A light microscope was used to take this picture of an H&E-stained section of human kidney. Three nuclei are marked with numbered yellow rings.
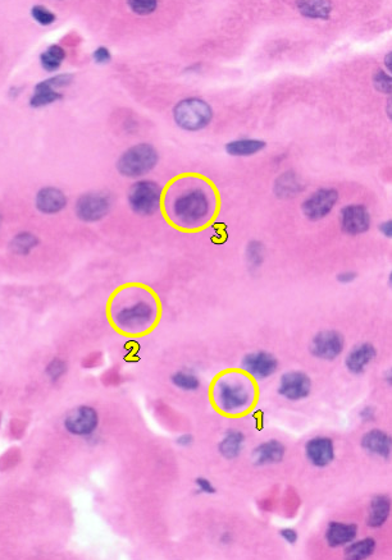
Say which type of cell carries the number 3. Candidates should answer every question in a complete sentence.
The cell carrying label 3 is identified as a proximal tubule cell.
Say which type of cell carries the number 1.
Among the marked nuclei, number 1 belongs to a loop of Henle or distal tubule cell.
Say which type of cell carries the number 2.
As for number 2, that cell is a proximal tubule cell.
